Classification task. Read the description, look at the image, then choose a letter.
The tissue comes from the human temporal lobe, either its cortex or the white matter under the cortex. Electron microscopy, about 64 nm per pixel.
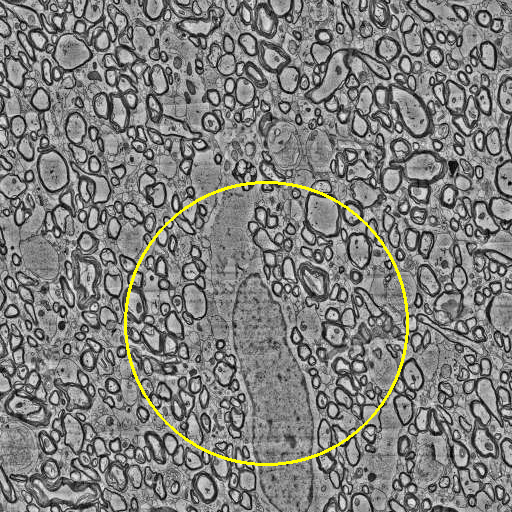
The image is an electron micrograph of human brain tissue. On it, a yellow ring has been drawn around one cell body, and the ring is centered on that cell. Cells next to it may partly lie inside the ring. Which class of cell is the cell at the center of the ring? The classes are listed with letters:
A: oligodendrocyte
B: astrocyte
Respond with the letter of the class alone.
B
